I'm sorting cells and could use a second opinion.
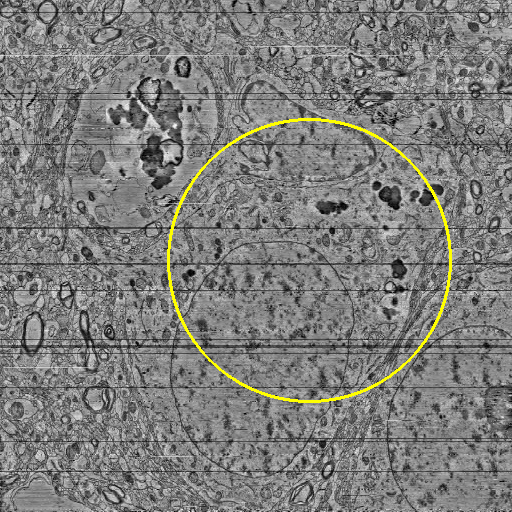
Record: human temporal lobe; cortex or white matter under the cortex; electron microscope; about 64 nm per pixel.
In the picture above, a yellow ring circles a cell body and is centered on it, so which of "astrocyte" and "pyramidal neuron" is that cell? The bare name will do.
pyramidal neuron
